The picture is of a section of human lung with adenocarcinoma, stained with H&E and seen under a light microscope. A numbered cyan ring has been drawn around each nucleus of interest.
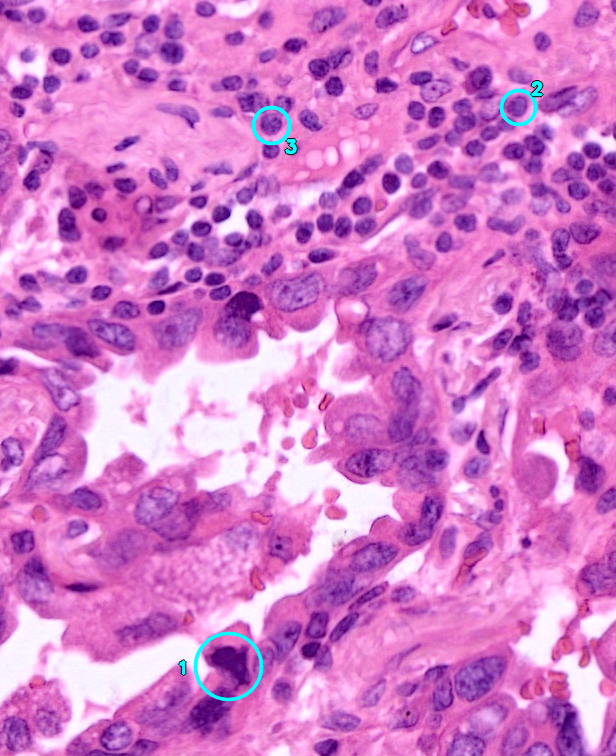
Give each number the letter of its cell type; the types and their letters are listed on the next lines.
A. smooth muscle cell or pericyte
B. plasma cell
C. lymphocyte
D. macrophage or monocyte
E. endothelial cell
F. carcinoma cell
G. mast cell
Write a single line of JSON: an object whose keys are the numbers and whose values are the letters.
{"1": "F", "2": "C", "3": "C"}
